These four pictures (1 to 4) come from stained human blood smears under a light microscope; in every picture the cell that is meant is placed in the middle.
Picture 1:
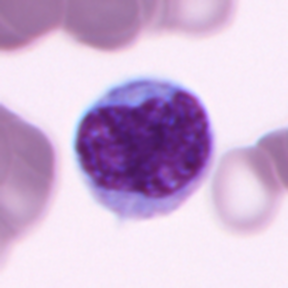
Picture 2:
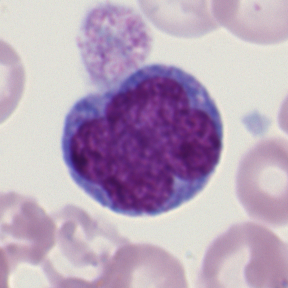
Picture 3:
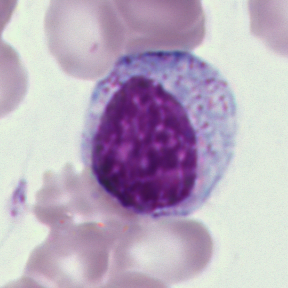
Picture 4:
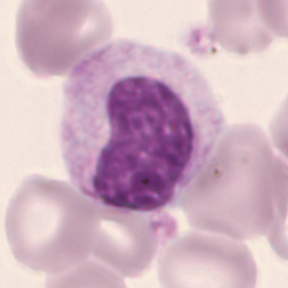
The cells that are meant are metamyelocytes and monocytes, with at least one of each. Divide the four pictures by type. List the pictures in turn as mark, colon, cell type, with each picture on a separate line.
1: monocyte
2: monocyte
3: metamyelocyte
4: metamyelocyte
